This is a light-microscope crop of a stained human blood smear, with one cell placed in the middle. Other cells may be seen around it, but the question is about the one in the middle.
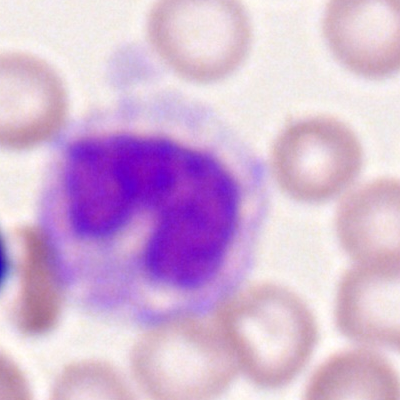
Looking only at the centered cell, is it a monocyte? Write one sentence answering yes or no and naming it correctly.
No, the cell at the centre is categorised not as a monocyte but as a band neutrophil.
